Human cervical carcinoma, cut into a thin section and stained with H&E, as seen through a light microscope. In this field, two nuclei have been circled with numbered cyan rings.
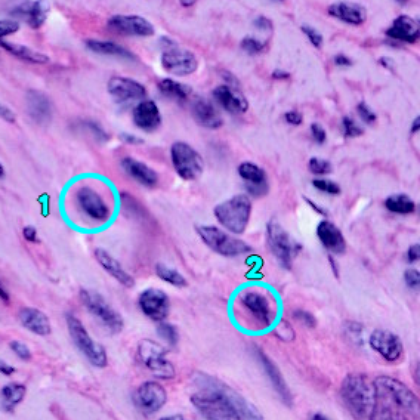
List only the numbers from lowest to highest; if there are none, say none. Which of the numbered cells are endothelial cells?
2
